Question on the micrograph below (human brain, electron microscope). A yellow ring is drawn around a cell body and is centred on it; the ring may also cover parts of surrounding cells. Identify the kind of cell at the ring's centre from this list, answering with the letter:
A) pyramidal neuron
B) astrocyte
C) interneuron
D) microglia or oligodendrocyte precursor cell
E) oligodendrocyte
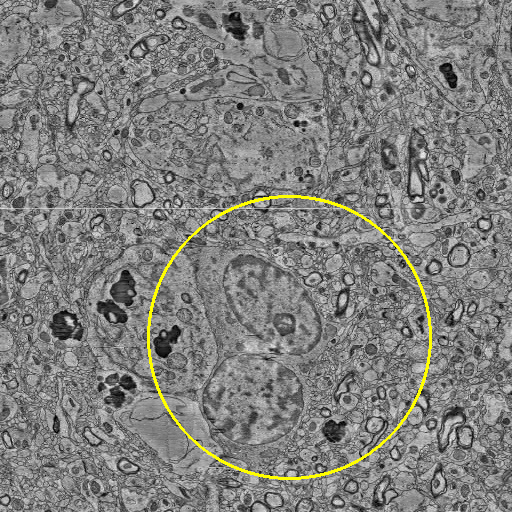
E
